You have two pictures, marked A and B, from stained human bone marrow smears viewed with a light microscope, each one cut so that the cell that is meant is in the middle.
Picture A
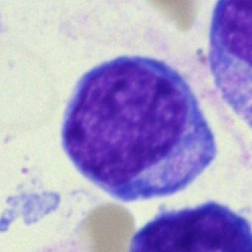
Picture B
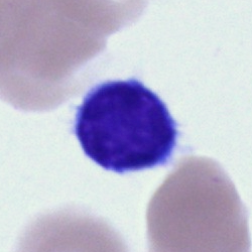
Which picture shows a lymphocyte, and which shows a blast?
A: blast
B: lymphocyte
